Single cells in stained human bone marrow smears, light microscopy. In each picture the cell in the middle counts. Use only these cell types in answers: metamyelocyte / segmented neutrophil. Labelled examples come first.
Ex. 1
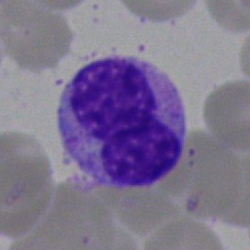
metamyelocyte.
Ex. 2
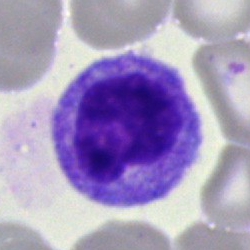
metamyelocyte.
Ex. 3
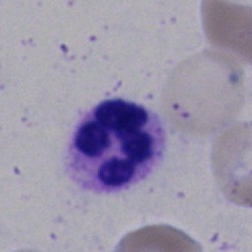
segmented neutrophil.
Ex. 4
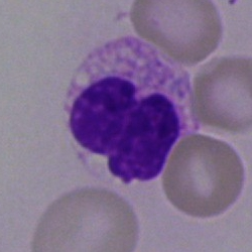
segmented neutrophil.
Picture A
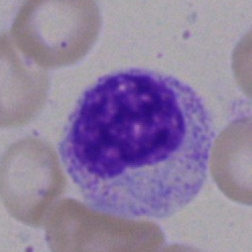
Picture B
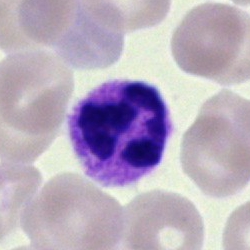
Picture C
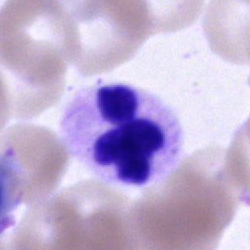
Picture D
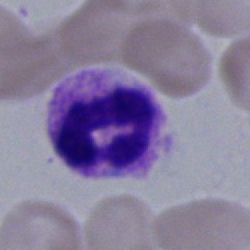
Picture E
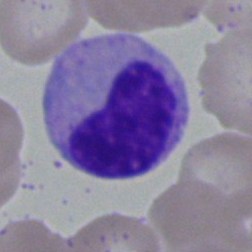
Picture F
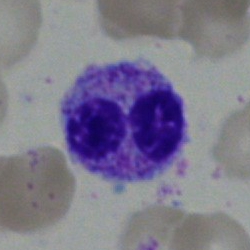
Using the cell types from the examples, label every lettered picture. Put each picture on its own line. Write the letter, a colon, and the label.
A: metamyelocyte.
B: segmented neutrophil.
C: segmented neutrophil.
D: segmented neutrophil.
E: metamyelocyte.
F: segmented neutrophil.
